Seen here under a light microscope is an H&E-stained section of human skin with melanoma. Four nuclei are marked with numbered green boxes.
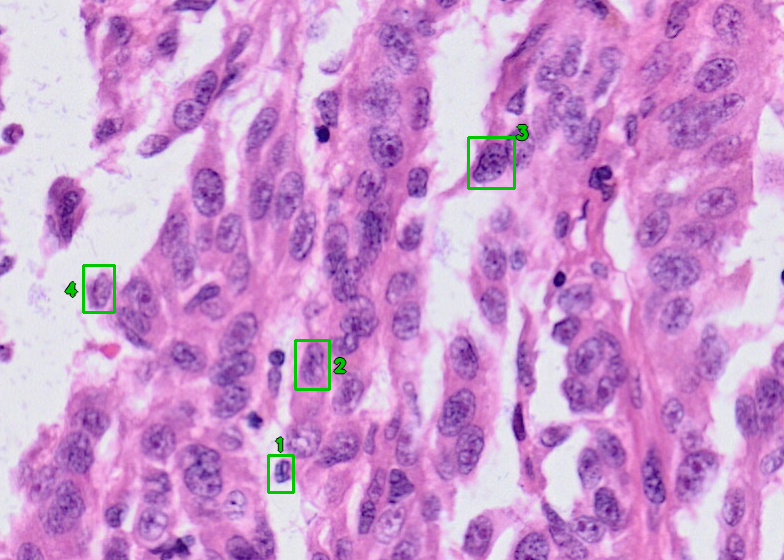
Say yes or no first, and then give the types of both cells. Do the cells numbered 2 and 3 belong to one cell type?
Yes, cell 2 and likewise cell 3 are melanoma cells.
